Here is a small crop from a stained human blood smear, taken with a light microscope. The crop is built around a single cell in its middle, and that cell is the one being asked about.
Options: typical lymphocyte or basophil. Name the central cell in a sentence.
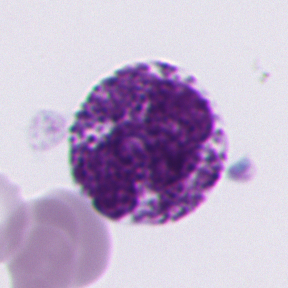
What sits at the centre of this crop is a basophil.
